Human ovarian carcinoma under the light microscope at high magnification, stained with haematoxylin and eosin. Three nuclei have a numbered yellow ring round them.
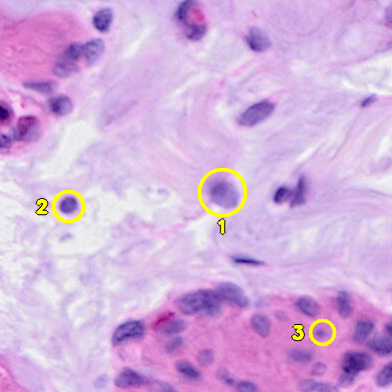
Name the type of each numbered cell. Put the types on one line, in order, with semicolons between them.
fibroblast; lymphocyte; smooth muscle cell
